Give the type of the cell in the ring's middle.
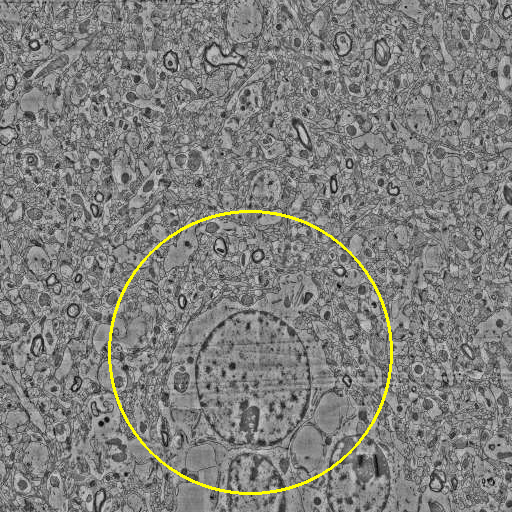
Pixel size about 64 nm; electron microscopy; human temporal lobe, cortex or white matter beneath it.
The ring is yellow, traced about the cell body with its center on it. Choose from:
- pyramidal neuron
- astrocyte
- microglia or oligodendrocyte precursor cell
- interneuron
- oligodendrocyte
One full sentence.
Here, an astrocyte is the cell lying at the center of the yellow ring.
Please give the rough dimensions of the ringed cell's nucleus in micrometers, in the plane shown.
About 9 micrometres by about 7 micrometres in this plane.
